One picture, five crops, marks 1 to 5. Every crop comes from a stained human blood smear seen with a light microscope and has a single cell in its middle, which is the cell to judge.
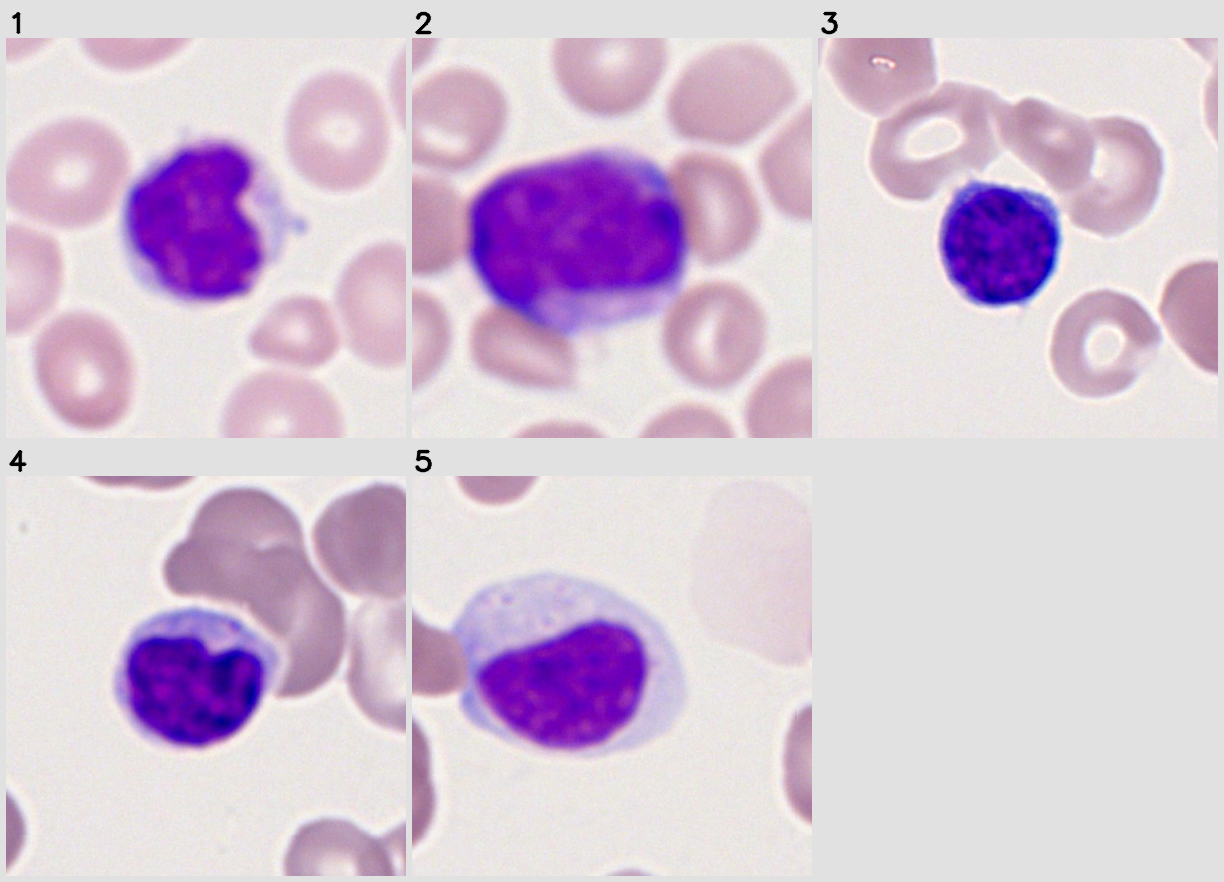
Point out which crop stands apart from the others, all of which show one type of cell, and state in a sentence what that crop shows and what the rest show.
Every crop but one shows lymphocytes; the exception, crop 2, shows a myeloblast.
